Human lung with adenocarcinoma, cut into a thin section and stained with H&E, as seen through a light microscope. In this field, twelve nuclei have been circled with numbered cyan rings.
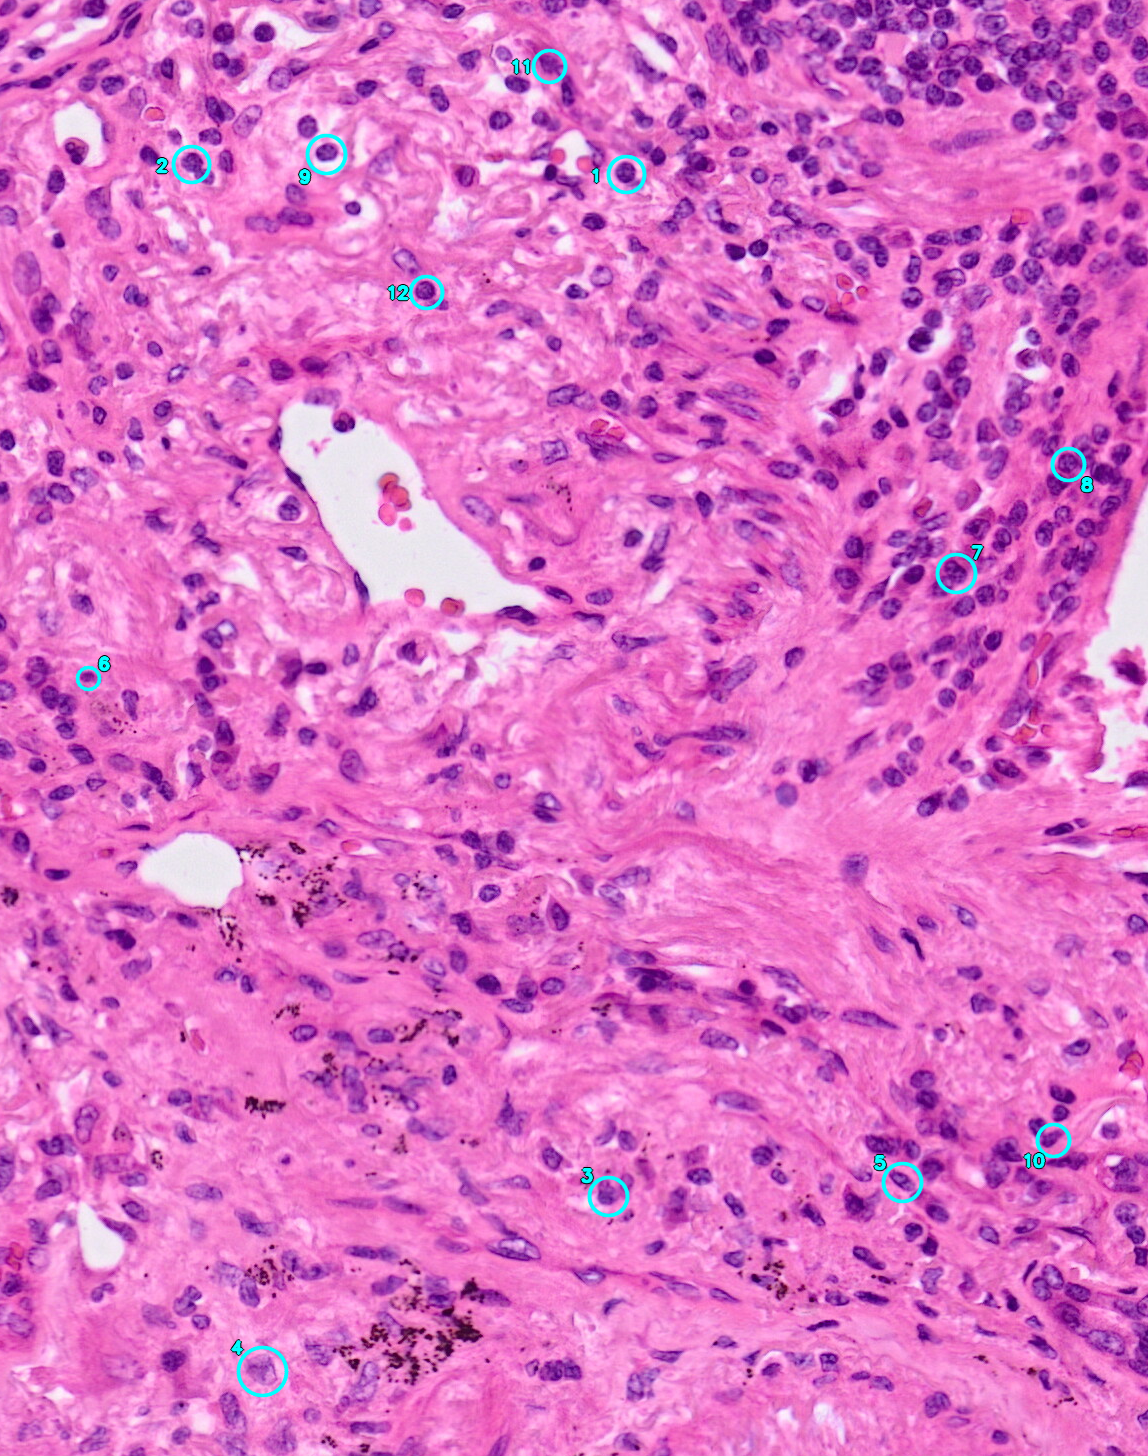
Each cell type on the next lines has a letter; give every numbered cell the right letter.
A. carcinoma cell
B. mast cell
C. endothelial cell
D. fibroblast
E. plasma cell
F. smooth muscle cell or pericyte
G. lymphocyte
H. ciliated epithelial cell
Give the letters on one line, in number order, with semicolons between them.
G; G; G; D; B; E; E; G; G; G; E; G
